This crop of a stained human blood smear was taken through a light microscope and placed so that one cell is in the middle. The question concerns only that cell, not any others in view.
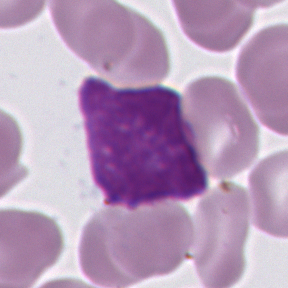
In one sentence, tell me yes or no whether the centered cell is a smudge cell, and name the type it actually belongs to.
Yes, it is a smudge cell that is seen at the centre of the crop.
